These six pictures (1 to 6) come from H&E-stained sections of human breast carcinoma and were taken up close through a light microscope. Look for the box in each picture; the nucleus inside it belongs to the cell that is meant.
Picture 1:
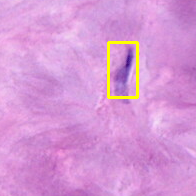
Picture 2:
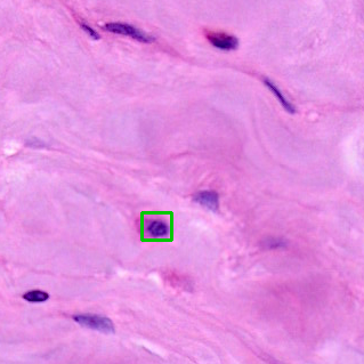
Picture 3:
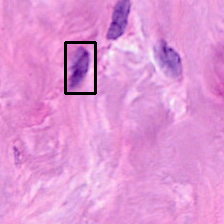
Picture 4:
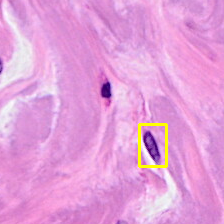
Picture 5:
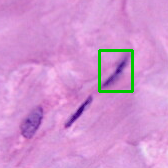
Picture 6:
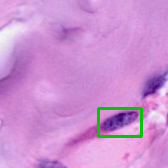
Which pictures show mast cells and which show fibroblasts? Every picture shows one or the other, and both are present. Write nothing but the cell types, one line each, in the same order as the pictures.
fibroblast
mast cell
fibroblast
fibroblast
fibroblast
mast cell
